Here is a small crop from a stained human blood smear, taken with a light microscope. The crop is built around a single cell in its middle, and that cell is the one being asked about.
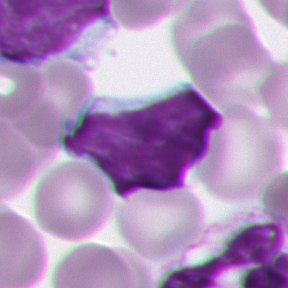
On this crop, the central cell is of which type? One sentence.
The centered cell in this crop is a lymphocyte.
